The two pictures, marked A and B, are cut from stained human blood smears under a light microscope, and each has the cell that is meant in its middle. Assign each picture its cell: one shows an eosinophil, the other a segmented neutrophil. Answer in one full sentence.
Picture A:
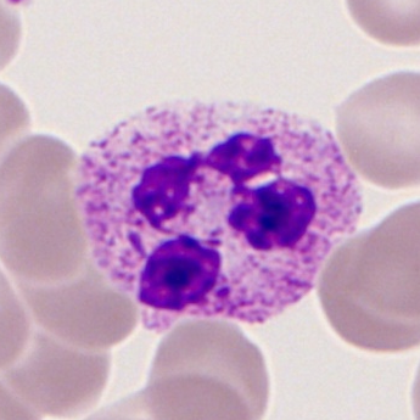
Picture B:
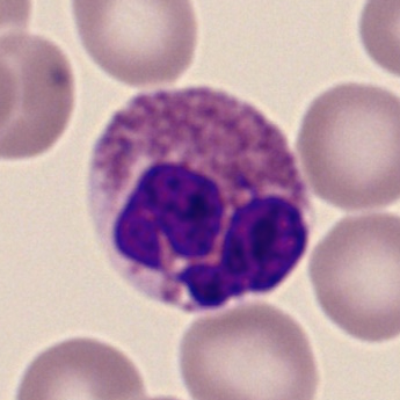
Picture A is of a segmented neutrophil, and picture B is of an eosinophil.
